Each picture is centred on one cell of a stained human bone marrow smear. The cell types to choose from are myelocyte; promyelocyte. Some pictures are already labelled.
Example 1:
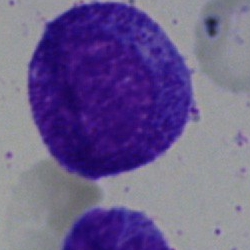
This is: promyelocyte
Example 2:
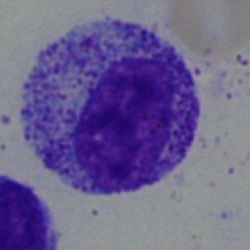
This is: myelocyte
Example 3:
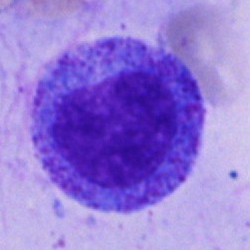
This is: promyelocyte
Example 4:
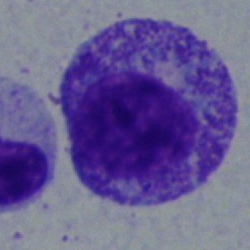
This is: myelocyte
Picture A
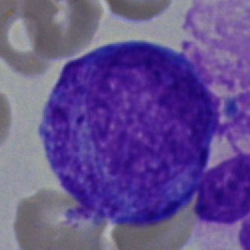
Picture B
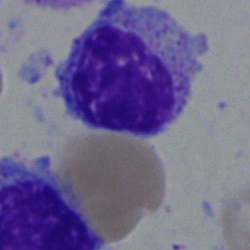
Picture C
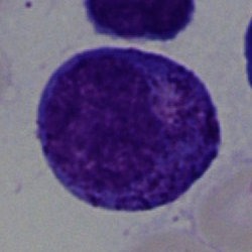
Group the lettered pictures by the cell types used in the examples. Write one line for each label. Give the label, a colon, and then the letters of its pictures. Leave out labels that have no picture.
myelocyte: B
promyelocyte: A, C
